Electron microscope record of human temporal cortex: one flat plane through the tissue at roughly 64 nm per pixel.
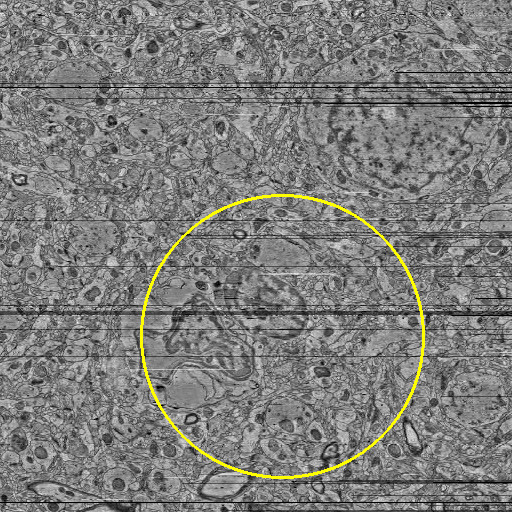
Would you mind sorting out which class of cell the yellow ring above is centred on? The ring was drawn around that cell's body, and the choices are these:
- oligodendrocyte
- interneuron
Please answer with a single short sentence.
This is the cell body of an oligodendrocyte.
